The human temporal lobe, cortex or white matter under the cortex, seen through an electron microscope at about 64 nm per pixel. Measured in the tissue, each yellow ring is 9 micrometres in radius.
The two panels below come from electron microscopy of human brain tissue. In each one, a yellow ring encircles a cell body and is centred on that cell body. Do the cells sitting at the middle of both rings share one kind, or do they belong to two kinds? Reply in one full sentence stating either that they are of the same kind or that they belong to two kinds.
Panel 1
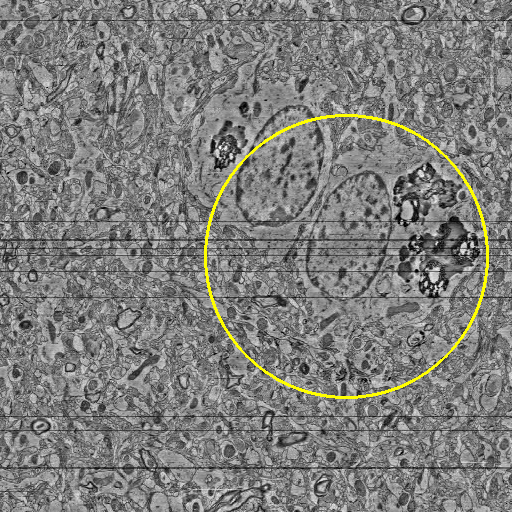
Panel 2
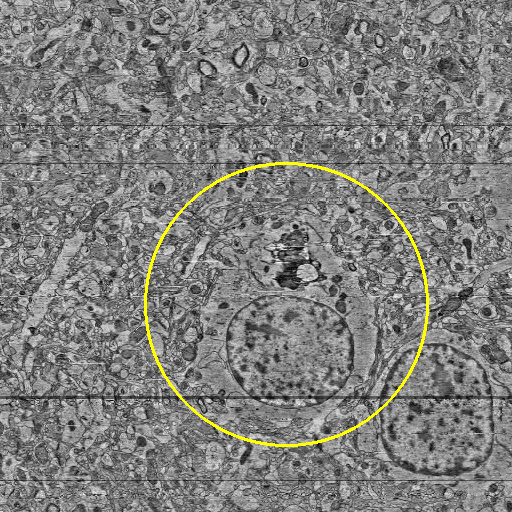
The cells at the centres of the two rings are of the same kind.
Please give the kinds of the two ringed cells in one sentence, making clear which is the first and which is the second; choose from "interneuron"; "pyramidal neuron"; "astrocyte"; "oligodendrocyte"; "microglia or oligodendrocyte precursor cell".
In each of the two pictures, the ringed cell is an astrocyte.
